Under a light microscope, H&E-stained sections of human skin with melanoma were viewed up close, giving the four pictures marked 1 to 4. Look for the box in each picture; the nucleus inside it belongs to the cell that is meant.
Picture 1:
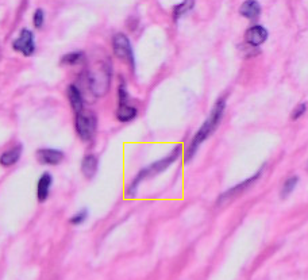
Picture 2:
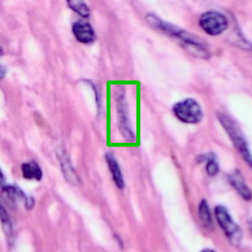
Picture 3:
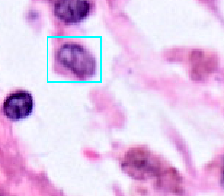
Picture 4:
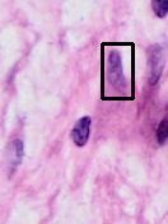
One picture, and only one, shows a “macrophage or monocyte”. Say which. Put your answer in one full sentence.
It is picture 3 that shows the “macrophage or monocyte”.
